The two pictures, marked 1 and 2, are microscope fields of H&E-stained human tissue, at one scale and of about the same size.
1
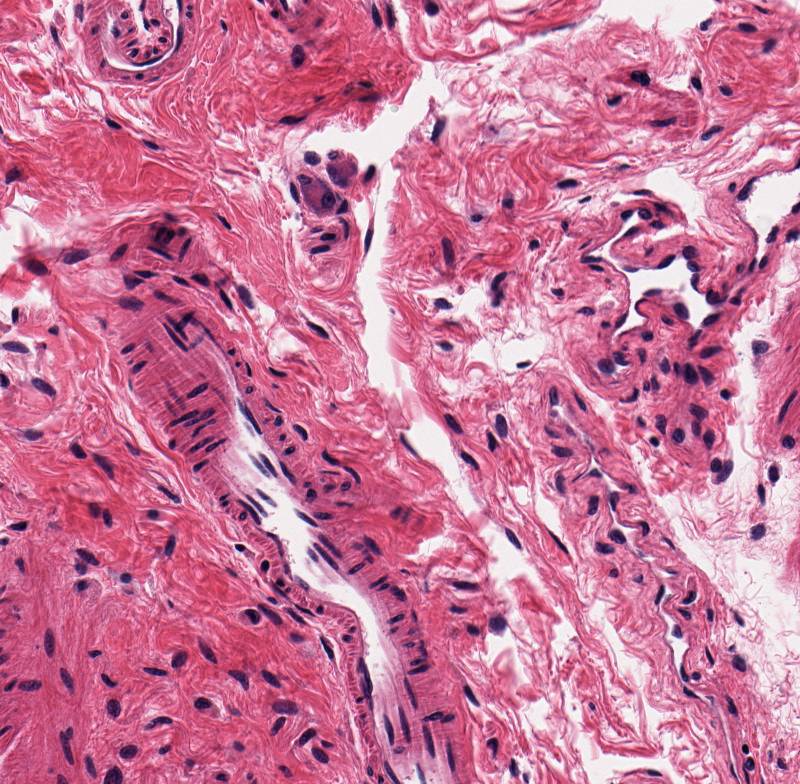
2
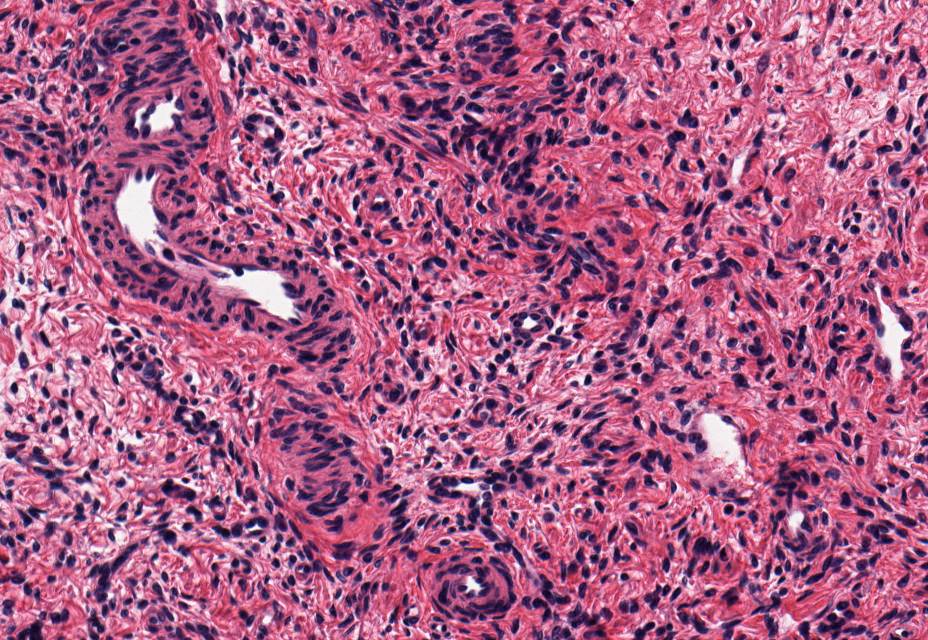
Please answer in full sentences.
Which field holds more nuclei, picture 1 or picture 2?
The larger number of nuclei is in picture 2.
